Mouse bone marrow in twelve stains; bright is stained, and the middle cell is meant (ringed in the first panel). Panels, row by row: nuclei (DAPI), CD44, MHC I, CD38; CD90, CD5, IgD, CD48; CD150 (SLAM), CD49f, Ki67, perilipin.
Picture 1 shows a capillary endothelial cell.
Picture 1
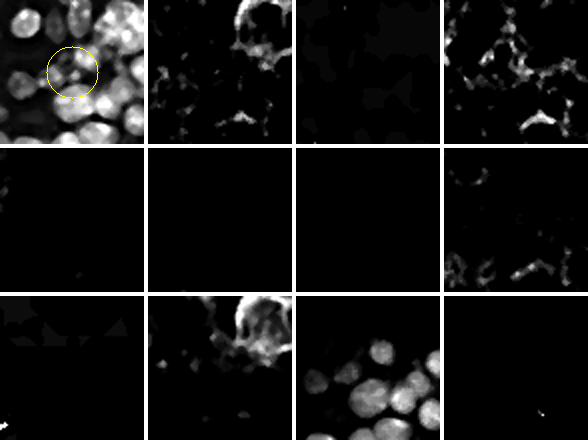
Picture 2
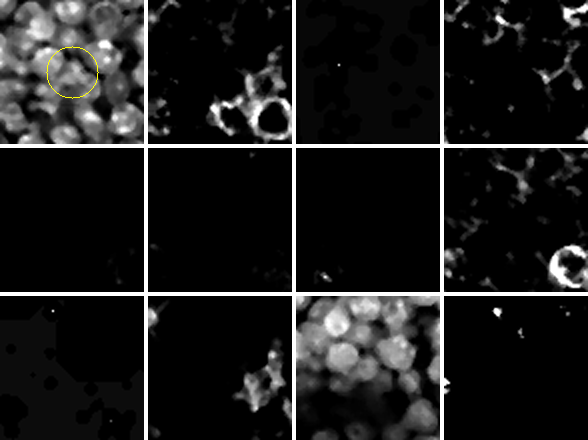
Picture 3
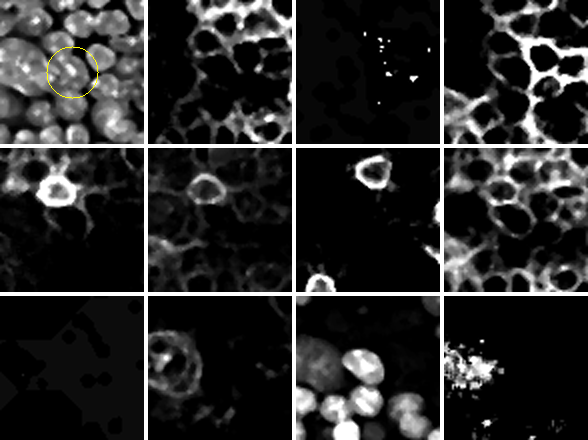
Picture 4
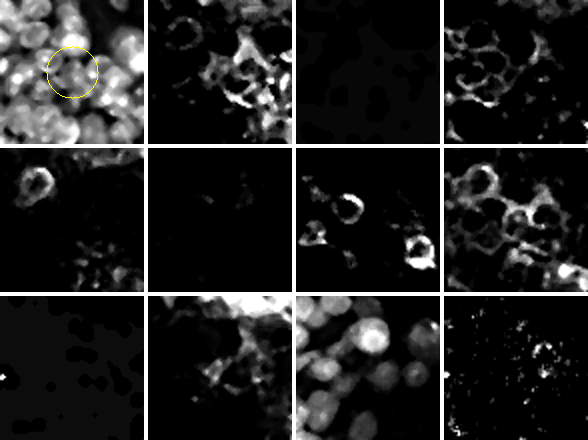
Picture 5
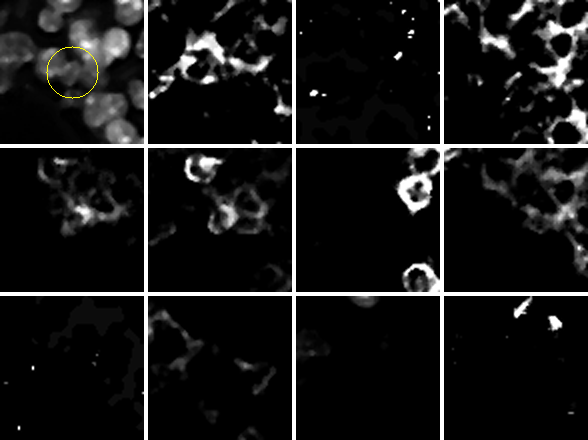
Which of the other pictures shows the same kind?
Picture 3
